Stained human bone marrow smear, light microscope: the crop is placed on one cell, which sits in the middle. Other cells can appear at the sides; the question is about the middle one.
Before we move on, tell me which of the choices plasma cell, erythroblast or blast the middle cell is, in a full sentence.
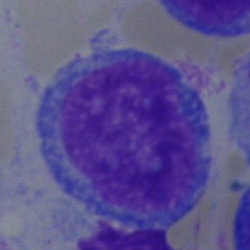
Regarding the central cell, it is a blast.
